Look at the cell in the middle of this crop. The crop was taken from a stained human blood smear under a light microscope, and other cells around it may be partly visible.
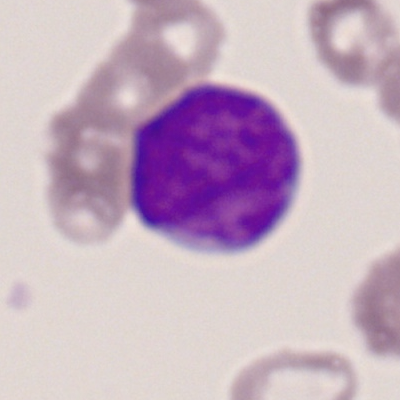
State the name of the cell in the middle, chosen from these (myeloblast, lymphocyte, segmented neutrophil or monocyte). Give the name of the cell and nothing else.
myeloblast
